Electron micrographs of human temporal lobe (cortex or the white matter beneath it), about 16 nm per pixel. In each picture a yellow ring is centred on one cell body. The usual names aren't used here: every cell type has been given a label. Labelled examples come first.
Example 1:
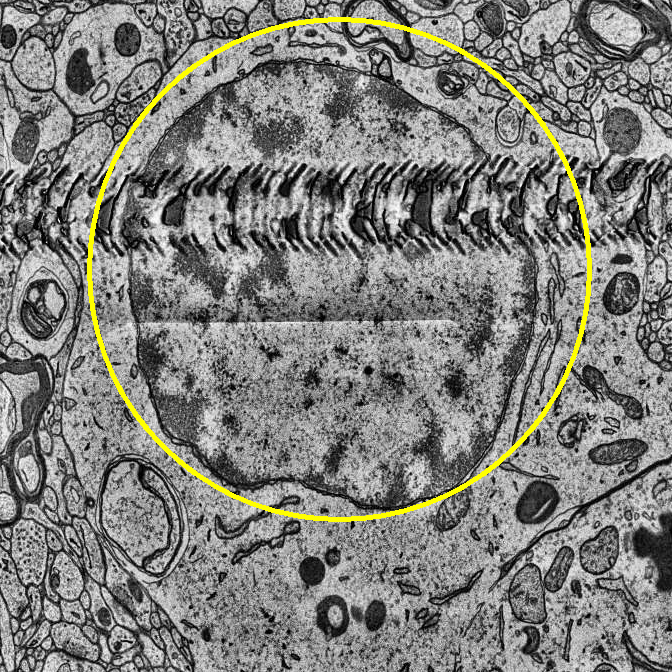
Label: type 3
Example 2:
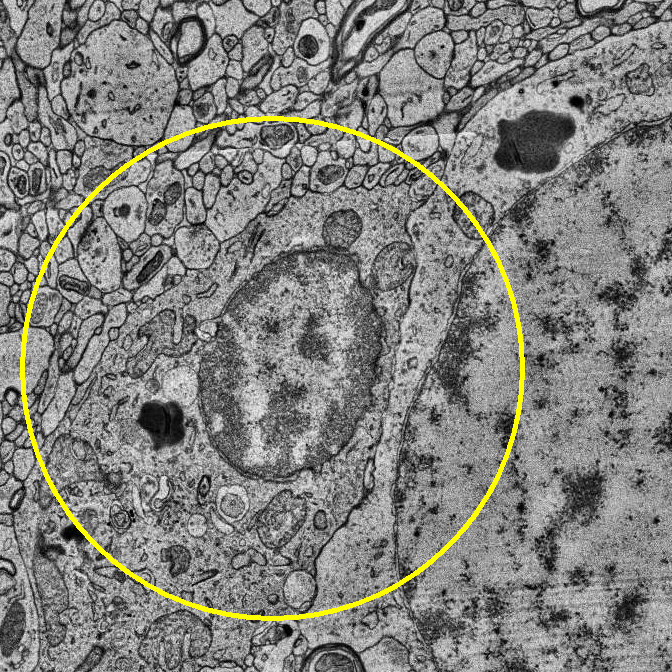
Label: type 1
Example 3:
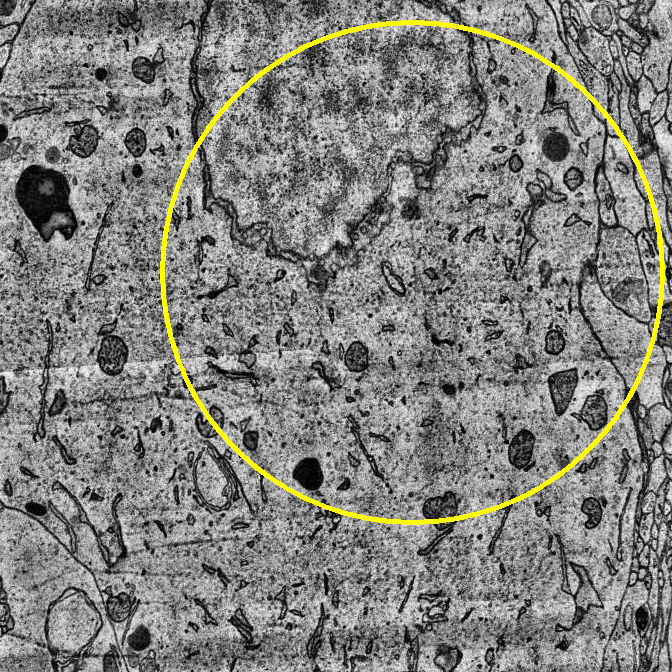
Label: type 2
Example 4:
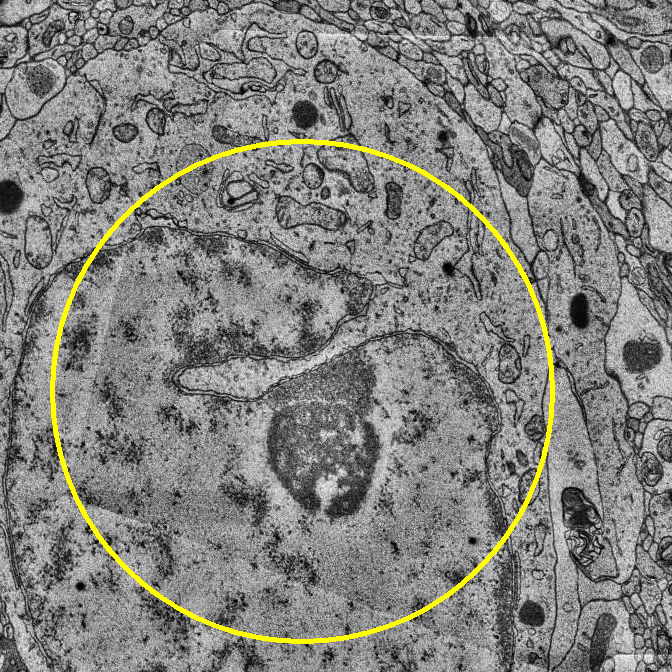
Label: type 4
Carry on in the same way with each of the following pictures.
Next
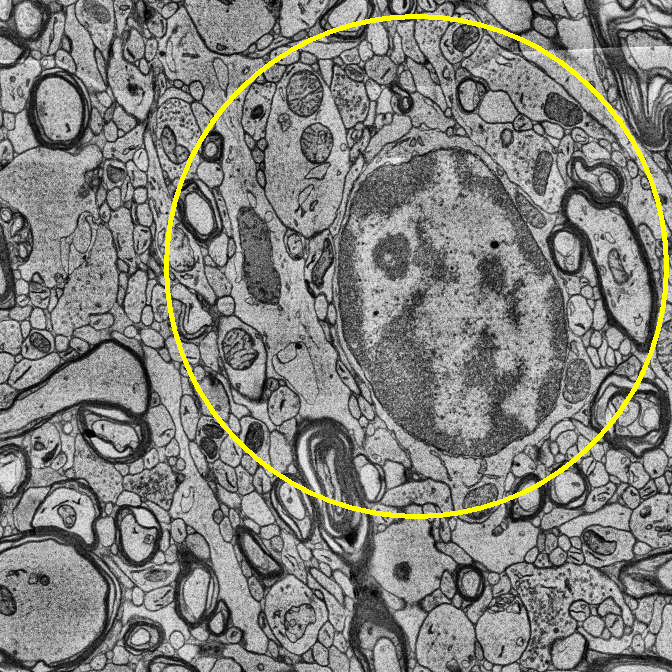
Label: type 3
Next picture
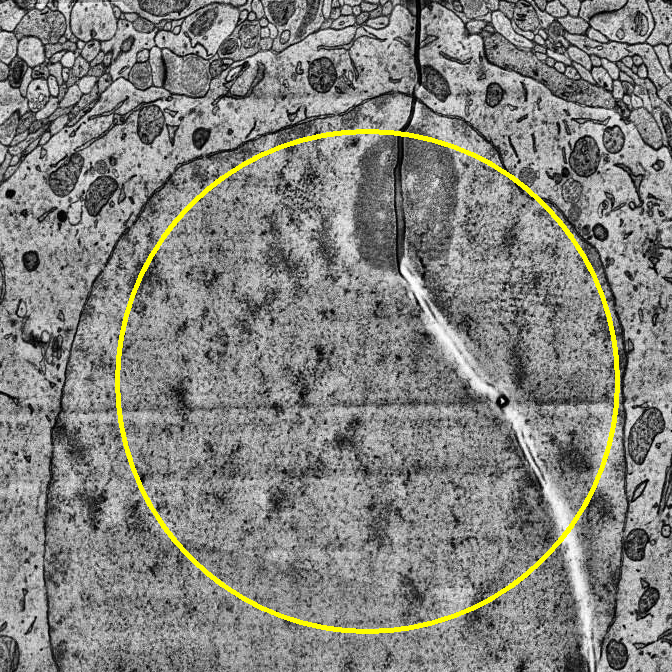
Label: type 2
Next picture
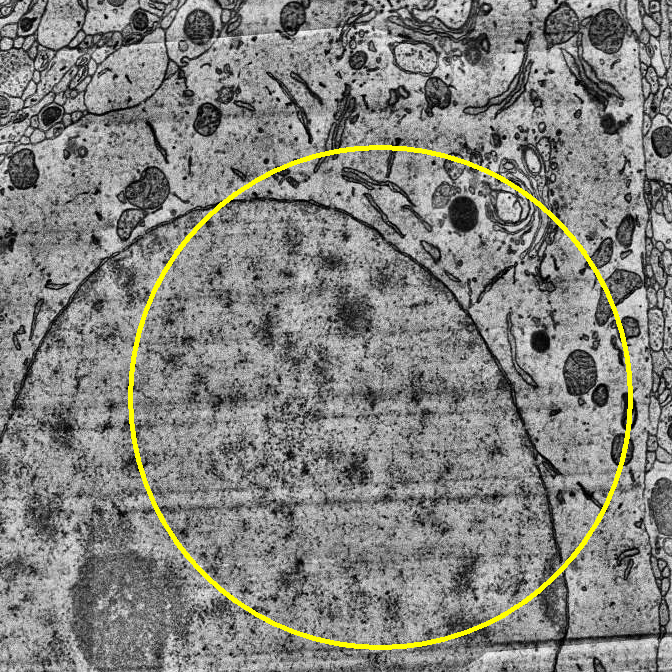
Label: type 2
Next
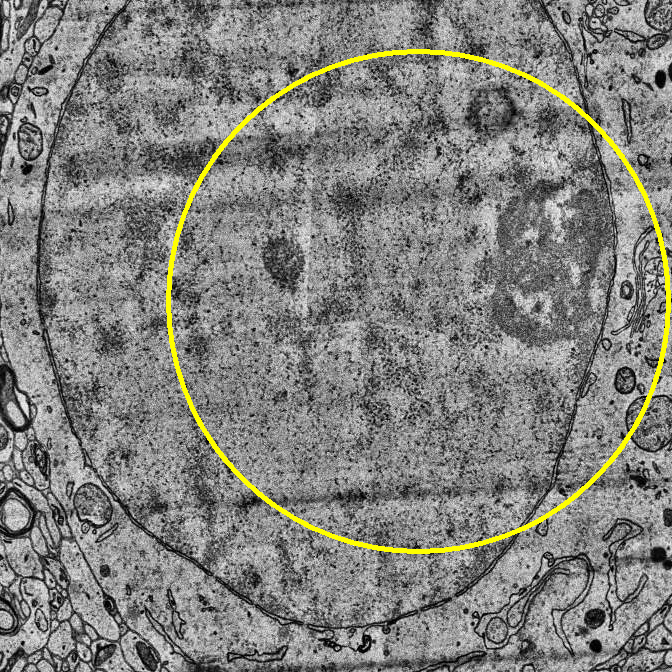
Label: type 2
